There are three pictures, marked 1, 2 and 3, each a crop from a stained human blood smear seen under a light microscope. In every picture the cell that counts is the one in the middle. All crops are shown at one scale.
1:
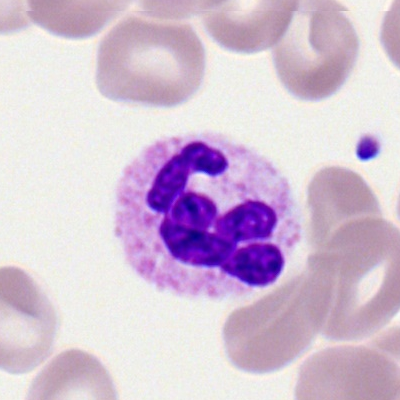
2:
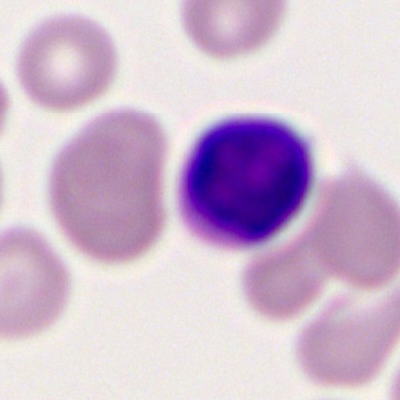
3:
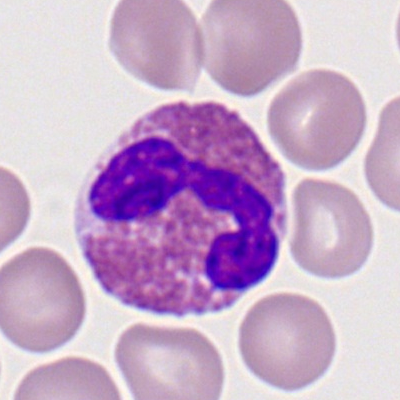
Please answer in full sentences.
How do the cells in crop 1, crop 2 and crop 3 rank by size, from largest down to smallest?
Largest first: 3, 1, 2.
